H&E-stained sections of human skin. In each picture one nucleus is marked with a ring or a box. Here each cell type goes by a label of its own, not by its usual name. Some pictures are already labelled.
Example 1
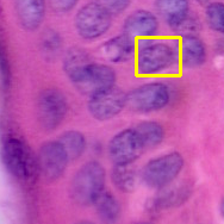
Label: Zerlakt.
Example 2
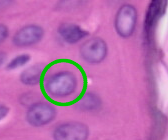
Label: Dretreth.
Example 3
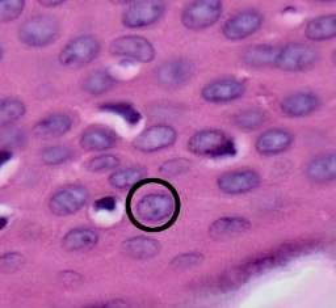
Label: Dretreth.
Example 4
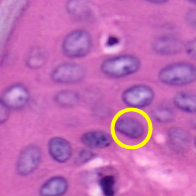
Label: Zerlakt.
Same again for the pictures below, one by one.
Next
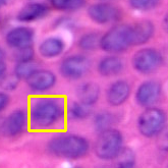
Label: Zerlakt.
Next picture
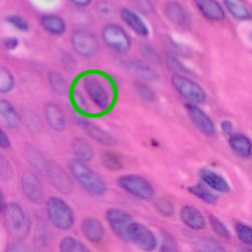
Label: Zerlakt.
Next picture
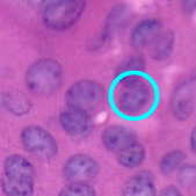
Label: Dretreth.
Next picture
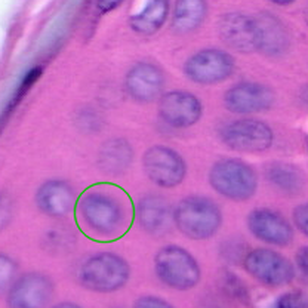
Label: Dretreth.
